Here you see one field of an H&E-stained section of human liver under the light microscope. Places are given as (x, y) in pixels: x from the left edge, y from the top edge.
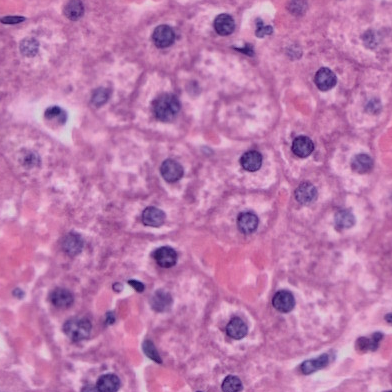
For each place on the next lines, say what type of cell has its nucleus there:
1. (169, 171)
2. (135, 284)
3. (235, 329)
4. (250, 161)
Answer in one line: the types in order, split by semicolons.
hepatocyte; fibroblast or stellate cell; hepatocyte; hepatocyte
